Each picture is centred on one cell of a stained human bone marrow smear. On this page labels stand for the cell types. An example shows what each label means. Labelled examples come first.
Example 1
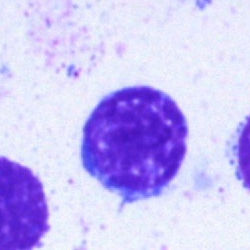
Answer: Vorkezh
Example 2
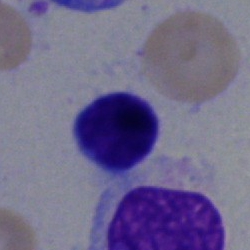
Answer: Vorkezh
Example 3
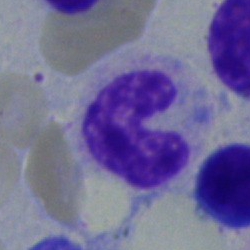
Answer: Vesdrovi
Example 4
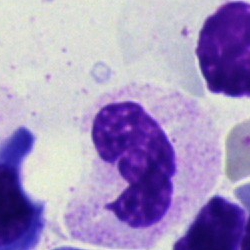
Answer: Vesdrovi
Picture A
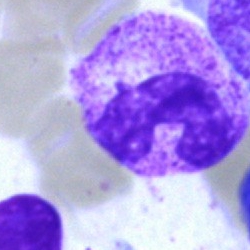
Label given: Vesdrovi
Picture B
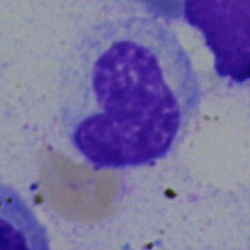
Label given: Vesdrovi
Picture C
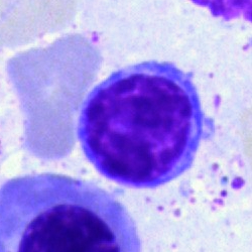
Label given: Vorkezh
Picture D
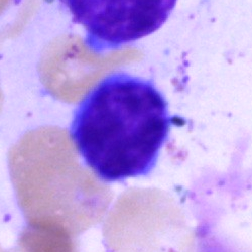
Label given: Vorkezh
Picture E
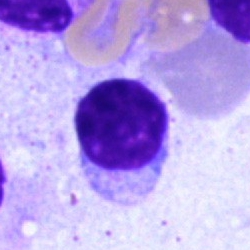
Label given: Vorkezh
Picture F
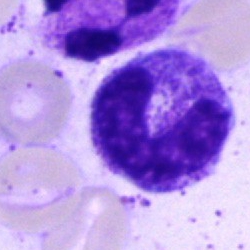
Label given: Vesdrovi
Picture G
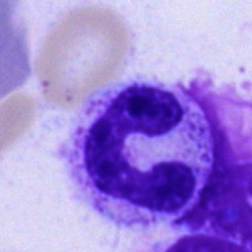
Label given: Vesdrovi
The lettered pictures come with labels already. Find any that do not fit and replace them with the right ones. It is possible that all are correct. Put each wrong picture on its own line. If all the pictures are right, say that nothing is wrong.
All labels are correct.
